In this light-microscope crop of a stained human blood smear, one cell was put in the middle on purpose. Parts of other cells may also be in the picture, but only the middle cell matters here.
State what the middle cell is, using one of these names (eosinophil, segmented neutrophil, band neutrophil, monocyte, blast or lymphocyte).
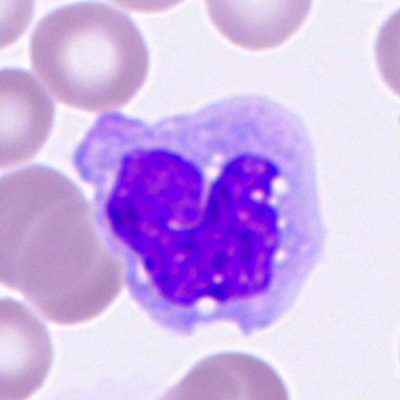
monocyte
